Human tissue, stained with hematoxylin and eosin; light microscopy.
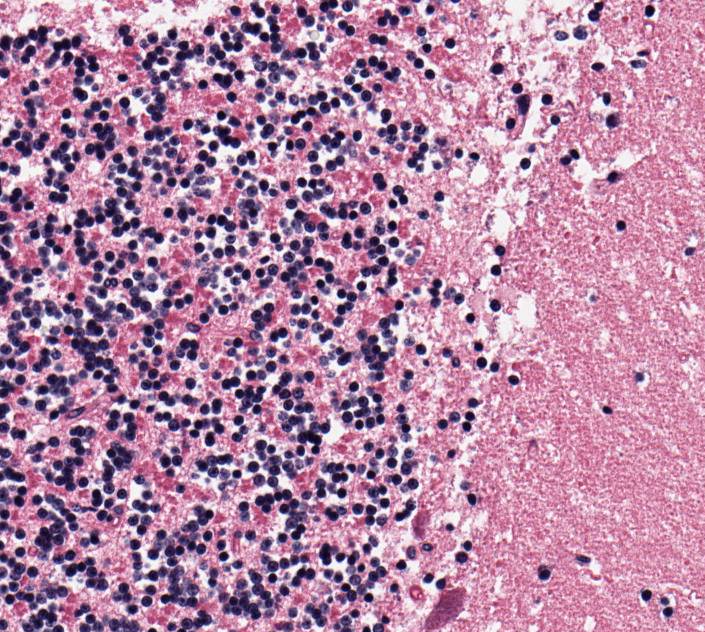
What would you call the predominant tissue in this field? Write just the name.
granular layer of the cerebellum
